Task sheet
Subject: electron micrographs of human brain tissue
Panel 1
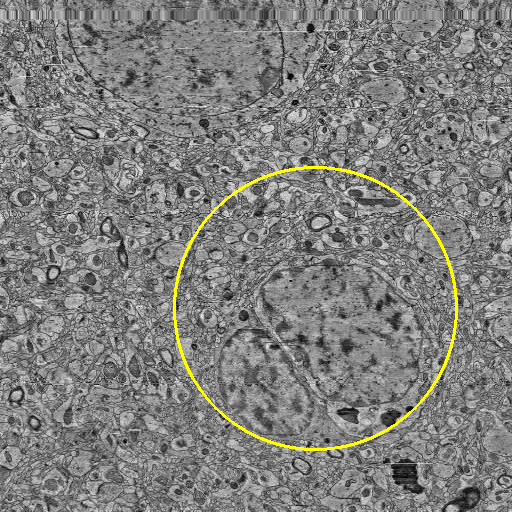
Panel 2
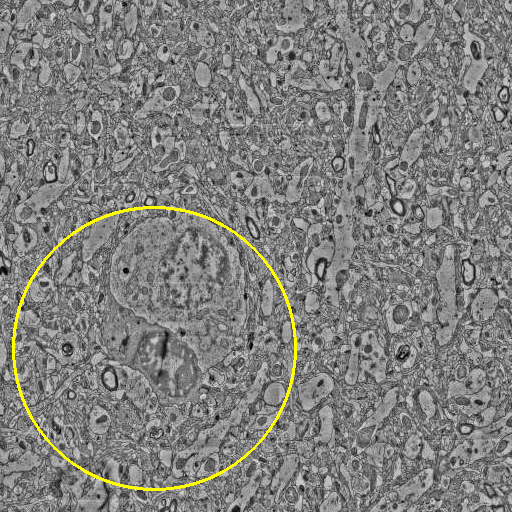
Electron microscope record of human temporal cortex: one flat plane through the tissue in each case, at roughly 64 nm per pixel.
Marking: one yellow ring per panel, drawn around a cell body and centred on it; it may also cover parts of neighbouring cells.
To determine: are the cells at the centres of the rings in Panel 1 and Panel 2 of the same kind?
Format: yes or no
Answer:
no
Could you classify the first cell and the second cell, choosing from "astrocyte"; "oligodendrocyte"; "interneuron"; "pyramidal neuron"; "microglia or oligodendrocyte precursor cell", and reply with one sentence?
The second cell is an oligodendrocyte, while the first is an interneuron.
